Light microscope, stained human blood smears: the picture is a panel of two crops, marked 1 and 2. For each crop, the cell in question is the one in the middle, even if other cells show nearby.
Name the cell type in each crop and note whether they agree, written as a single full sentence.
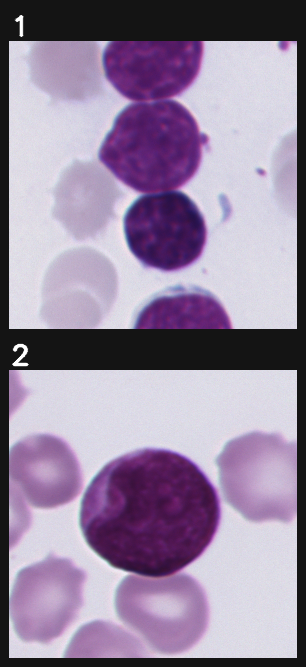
Yes, the cells at the centre of both crops are blasts.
